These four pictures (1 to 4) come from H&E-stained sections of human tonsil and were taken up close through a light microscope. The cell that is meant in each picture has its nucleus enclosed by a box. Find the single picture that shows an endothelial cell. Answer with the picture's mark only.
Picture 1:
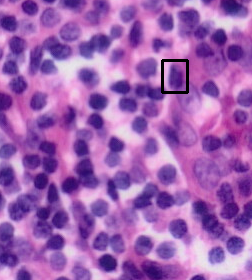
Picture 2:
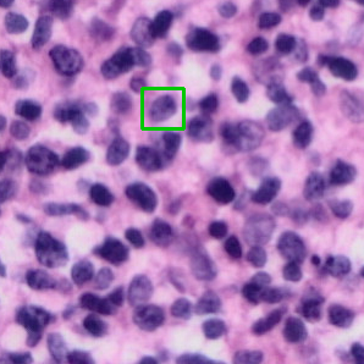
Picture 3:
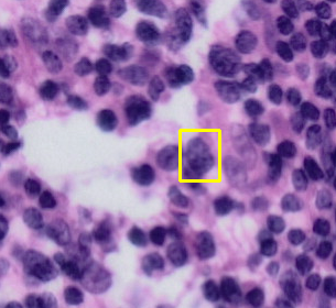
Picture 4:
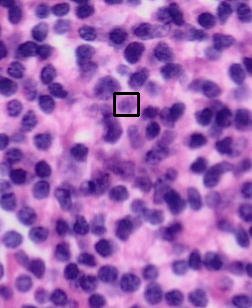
1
